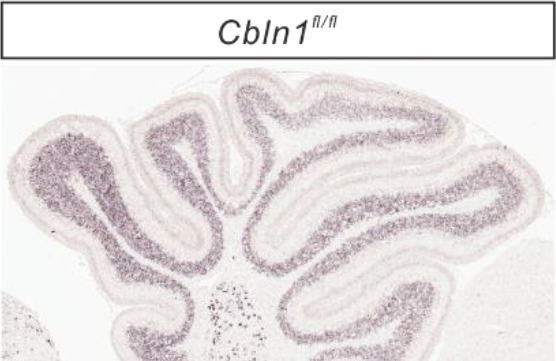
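The purple band is made of closely packed dots corresponding to granule cells and follows every folium from base to tip. Outside it lies a pale, lightly speckled outer zone forming the surface of each lobule, and inside it a pale central core of white matter branches into the folia. Scattered purple dots are also seen in the region at the base of the central white matter. The overall tree-like folding pattern of the cerebellum is clearly visible.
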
